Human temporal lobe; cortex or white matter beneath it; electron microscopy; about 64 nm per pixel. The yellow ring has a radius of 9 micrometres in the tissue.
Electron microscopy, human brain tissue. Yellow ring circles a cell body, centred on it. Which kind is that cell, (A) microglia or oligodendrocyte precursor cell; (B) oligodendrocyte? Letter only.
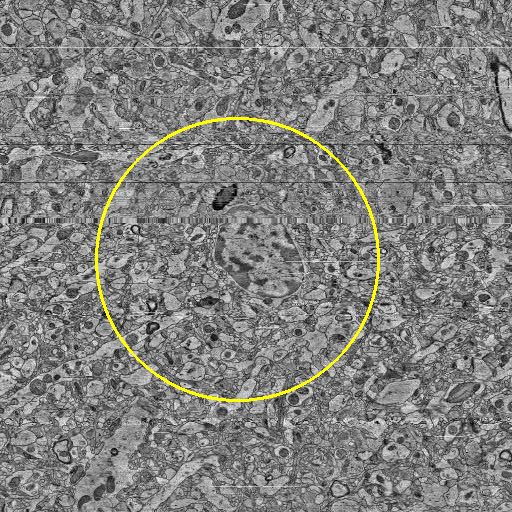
A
